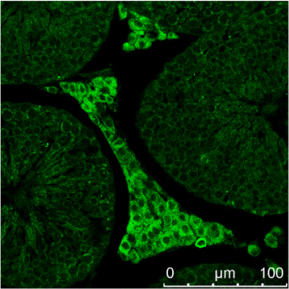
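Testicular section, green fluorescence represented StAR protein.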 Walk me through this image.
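Cross-sectioned round seminiferous tubules fill the field, separated by a dark branching interstitial space. In the angles between the tubules lie clusters of large polygonal cells whose cytoplasm glows bright green, with darker nuclear centres. The tubules themselves show only a faint green mesh of cells with a radial arrangement toward the lumen.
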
